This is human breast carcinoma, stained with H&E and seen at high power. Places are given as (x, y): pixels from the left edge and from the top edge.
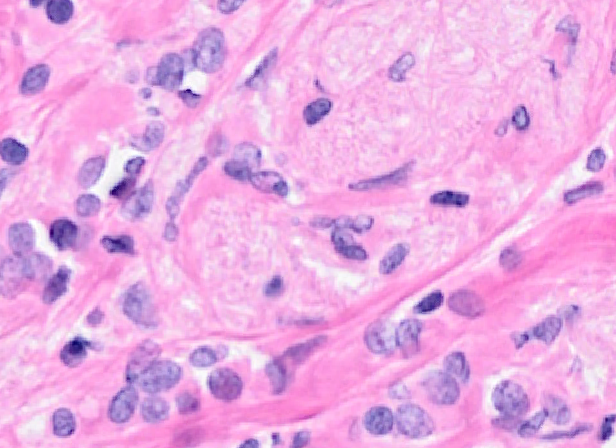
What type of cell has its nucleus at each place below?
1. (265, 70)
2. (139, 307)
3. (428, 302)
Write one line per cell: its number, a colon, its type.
1: fibroblast
2: fibroblast
3: lymphocyte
